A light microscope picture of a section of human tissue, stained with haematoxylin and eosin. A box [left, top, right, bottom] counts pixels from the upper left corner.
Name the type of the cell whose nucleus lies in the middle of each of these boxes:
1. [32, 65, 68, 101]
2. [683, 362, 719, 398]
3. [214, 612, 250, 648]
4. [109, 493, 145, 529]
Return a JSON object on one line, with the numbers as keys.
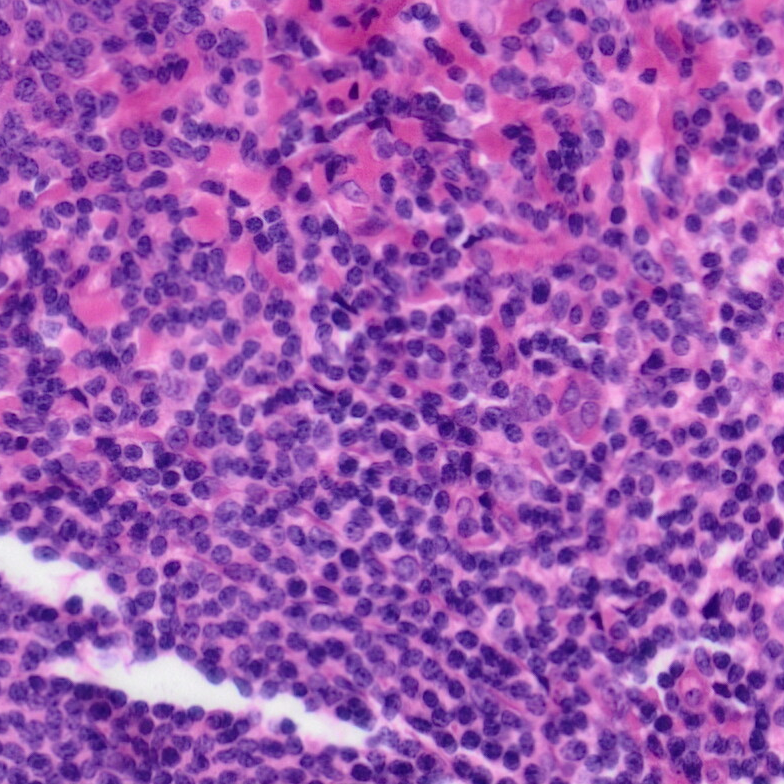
{"1": "plasma cell", "2": "small lymphocyte", "3": "small lymphocyte", "4": "small lymphocyte"}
